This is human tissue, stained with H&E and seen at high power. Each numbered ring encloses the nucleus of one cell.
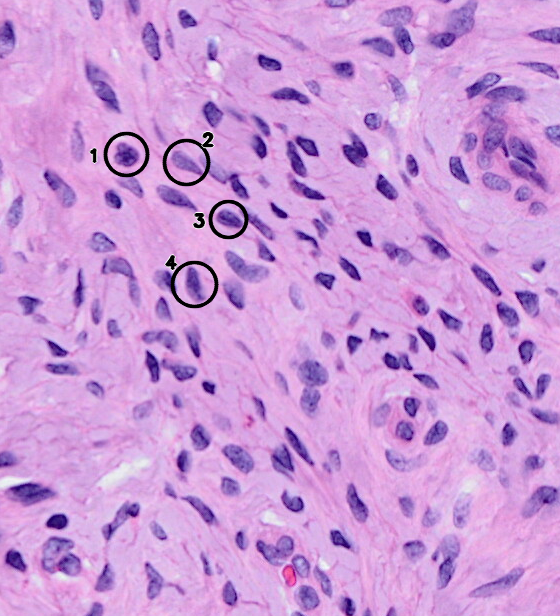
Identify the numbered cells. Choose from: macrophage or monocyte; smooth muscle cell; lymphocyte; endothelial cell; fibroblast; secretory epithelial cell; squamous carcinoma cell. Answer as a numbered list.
1. lymphocyte
2. fibroblast
3. fibroblast
4. fibroblast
